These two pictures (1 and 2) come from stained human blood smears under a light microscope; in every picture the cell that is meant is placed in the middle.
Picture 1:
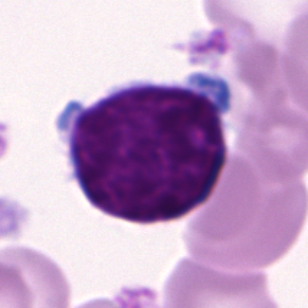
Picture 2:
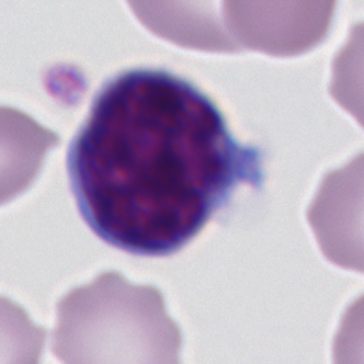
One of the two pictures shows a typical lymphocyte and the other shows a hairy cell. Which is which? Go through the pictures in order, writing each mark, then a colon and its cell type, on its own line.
1: typical lymphocyte
2: hairy cell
